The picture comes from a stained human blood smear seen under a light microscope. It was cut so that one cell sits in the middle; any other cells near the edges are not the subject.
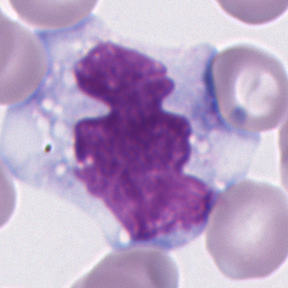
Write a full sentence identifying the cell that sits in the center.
The central cell in this smear crop is a monocyte.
